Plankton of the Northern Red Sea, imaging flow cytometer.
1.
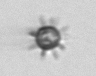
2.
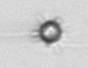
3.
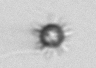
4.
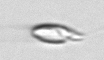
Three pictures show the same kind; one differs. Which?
Picture 4: Kapelodinium, while the others are Rhabdosphaera.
